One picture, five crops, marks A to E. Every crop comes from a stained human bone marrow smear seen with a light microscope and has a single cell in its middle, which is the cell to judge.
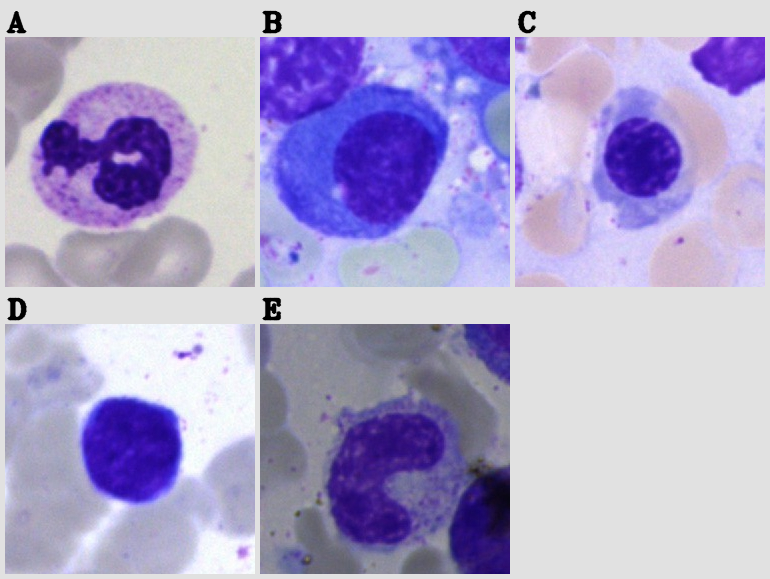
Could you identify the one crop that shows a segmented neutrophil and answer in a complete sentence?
Crop A represents a segmented neutrophil, while the other crops do not.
